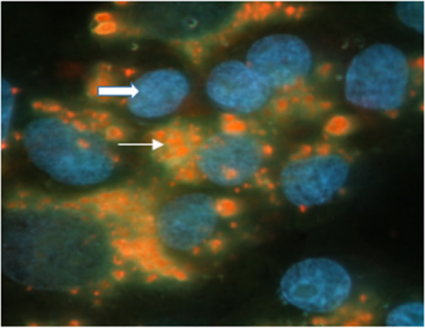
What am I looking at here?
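The nuclei are smooth-edged and show no condensation or fragmentation of chromatin, so the cells appear viable. The cytoplasm between the nuclei glows diffusely green to orange, and within it lie many bright orange-red punctate spots of varying size, some large and rounded. The background is dark, and cell borders are poorly defined.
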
